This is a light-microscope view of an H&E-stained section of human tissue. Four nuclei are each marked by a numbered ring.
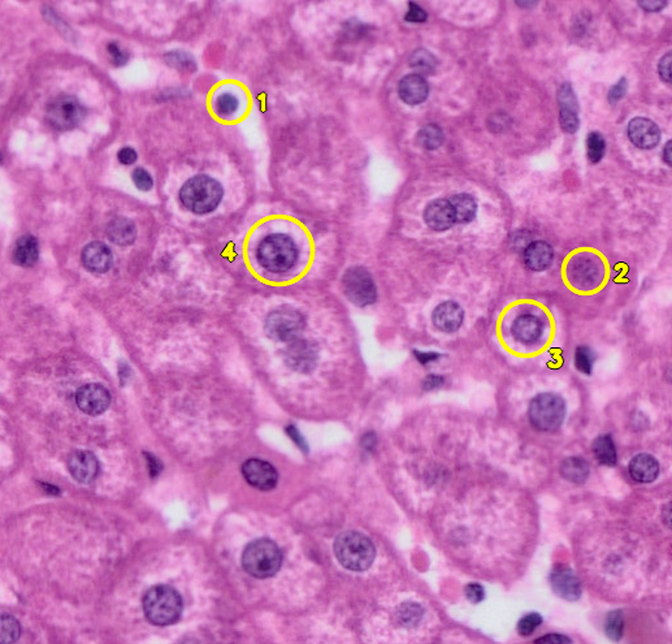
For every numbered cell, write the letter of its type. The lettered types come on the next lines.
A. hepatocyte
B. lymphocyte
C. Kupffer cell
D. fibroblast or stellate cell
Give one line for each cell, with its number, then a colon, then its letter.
1: B
2: A
3: A
4: A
